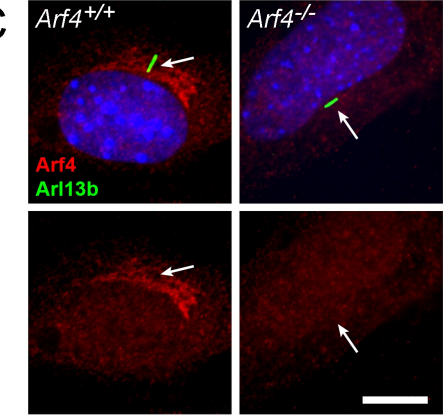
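In the left cell the red signal gathers into a ribbon-like crescent beside the nucleus, close to the base of the cilium, which is the Golgi region. The cilium itself shows no red along its length. In the right cell the red is only a faint diffuse haze with no perinuclear concentration, while its cilium is still present.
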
